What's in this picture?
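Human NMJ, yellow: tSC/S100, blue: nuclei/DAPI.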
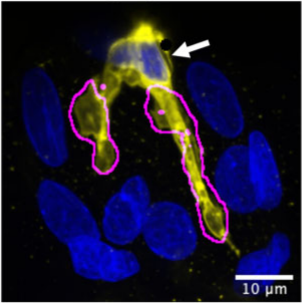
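From the cell body, yellow processes extend downward along two elongated outlined regions. Large oval blue myonuclei lie scattered around the junction.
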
